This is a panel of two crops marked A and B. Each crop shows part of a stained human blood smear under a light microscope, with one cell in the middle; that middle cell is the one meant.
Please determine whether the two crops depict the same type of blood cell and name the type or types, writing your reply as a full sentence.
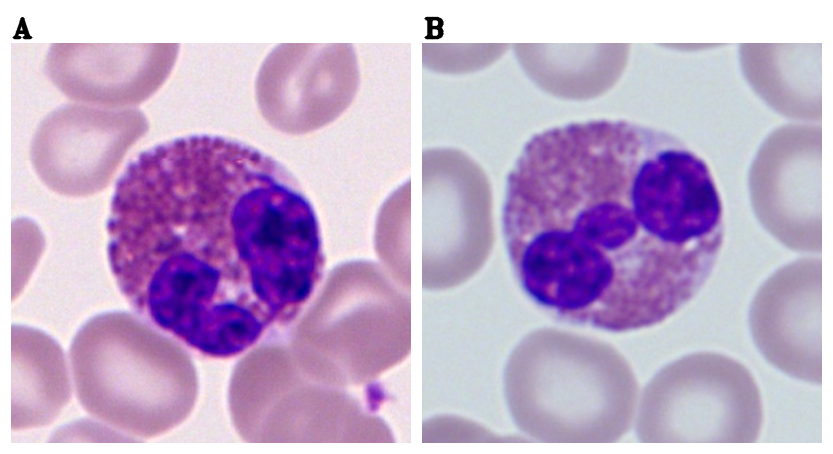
Yes, both crops in the pair show eosinophils.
